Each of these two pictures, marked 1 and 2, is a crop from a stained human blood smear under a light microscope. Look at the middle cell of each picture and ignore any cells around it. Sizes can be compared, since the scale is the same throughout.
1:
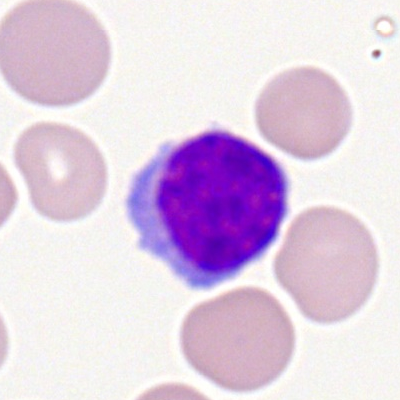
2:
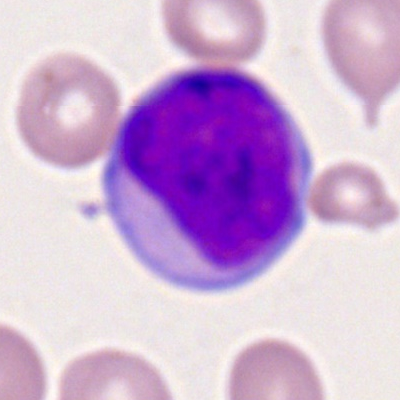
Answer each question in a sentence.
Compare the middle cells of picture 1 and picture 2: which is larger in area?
It is the cell in picture 2, about 2 times as large in area as the cell in picture 1.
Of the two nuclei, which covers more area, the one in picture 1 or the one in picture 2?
The nucleus in picture 2 is larger, with about 2 times the area of the one in picture 1.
